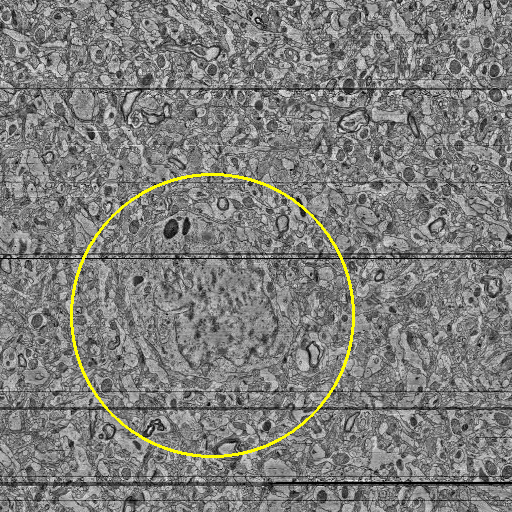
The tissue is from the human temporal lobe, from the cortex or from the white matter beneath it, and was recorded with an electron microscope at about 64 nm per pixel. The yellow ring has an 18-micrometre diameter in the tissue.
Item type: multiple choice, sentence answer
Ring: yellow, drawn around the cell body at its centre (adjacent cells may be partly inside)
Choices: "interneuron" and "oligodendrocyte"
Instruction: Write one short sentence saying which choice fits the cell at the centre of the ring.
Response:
This ring is drawn around an interneuron.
